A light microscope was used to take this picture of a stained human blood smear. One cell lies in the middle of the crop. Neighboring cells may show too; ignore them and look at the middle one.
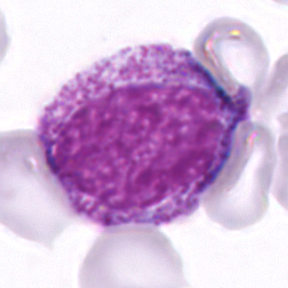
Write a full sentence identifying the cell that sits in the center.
As for the cell in the middle, it is a promyelocyte.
